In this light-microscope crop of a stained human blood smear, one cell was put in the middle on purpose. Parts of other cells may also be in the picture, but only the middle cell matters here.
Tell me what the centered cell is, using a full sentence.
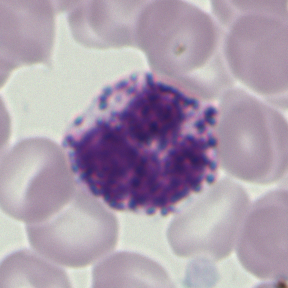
Centrally within this crop lies a basophil.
